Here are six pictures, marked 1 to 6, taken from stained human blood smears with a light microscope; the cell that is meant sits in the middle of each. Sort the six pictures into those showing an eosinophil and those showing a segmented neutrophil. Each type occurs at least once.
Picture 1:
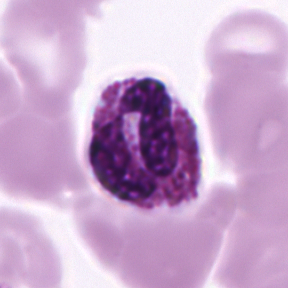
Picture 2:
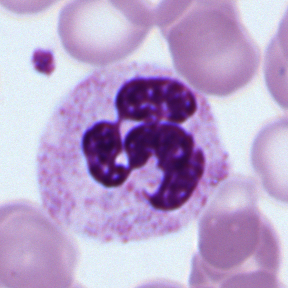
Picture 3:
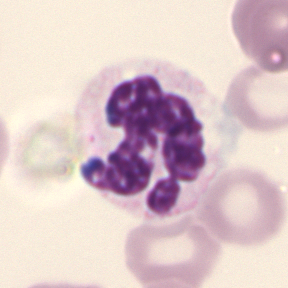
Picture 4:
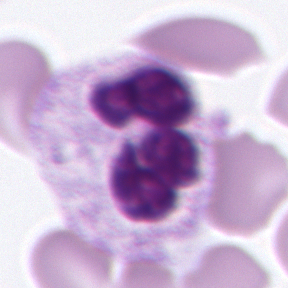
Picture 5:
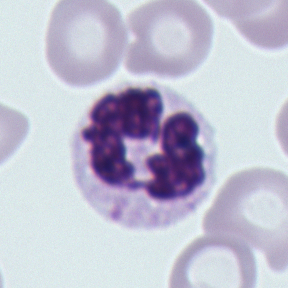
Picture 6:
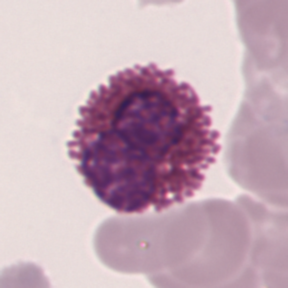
1: eosinophil
2: segmented neutrophil
3: segmented neutrophil
4: segmented neutrophil
5: segmented neutrophil
6: eosinophil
